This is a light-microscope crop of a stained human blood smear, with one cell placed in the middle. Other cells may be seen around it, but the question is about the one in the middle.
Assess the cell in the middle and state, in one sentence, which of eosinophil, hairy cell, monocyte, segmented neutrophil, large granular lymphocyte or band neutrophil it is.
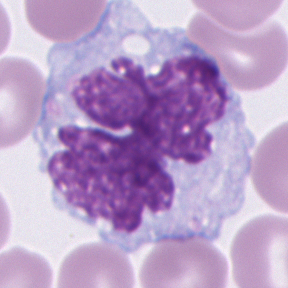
Within this crop, a monocyte occupies the central position.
